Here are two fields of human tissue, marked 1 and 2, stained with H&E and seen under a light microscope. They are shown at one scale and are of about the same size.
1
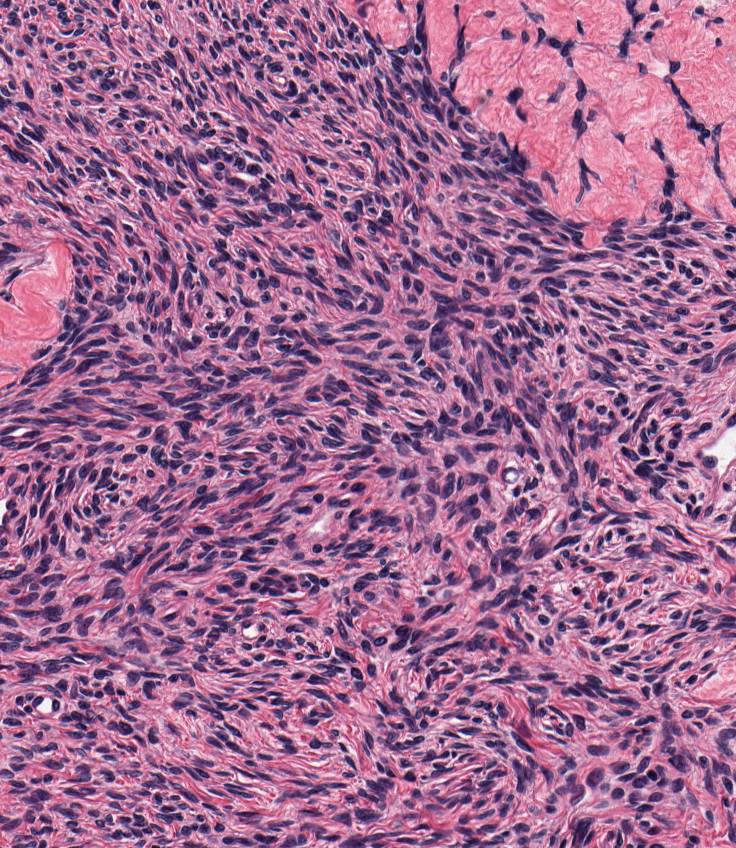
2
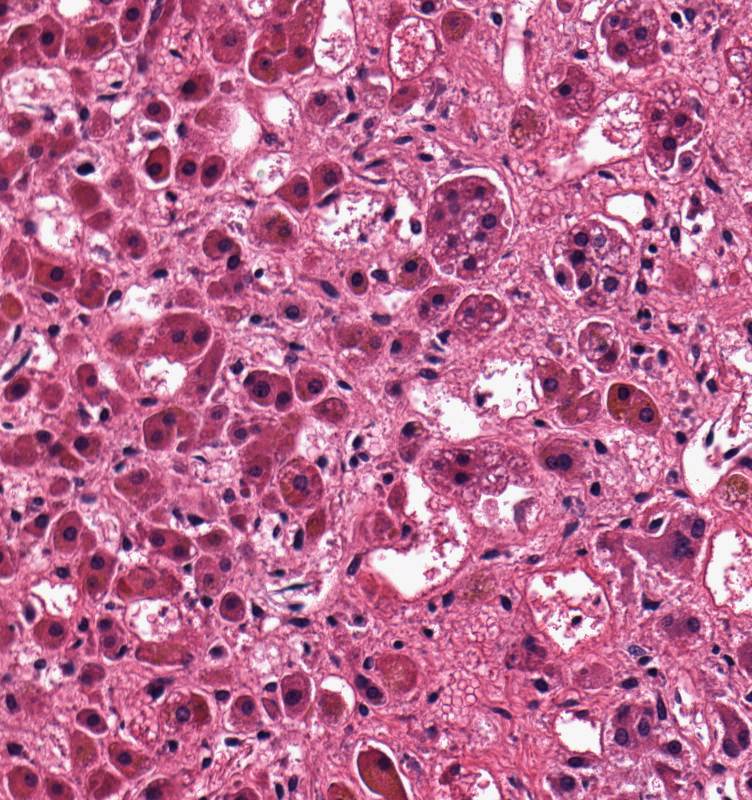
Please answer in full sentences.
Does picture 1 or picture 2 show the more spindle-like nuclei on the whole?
It is picture 1 whose nuclei are the more elongated.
